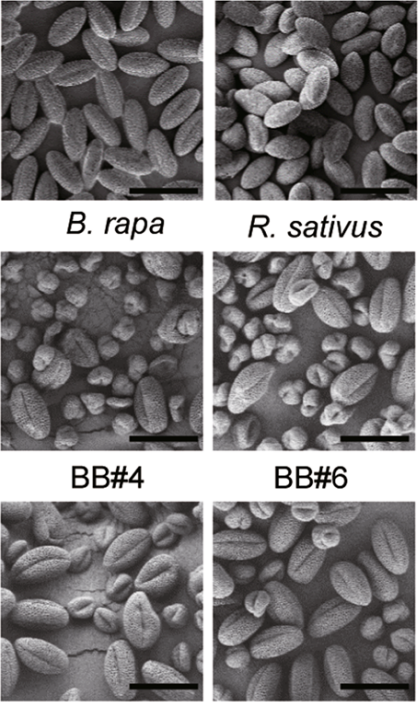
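This is a scanning electron view of pollen grains spread on a flat surface. In the top two images the grains are uniform ellipsoids with long furrows running along their length and a finely netted surface sculpture. In the lower four images plump ellipsoid grains lie beside many smaller grains that are collapsed, folded or irregularly lobed. The share of collapsed grains differs between the images.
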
